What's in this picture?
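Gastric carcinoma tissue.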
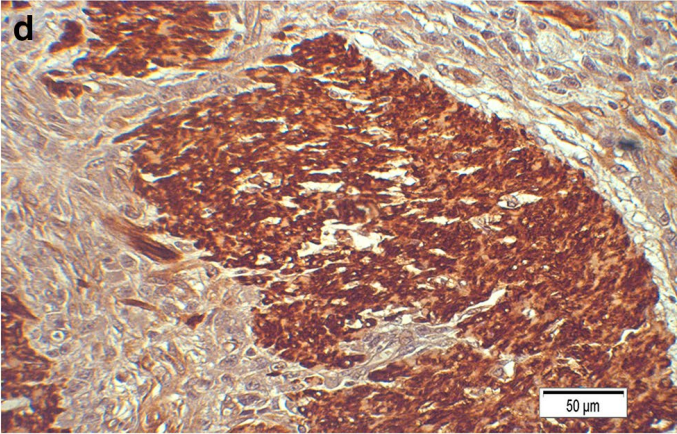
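A large, solid nest of crowded tumor cells fills most of the field and is stained an intense dark brown throughout, so that single nuclei are hard to separate from the cytoplasm. Small clefts and spaces break up the nest, and a few further dark brown cell clusters appear at its upper left. Around it lies paler fibrous stroma with elongated spindle-shaped cells and bluish nuclei, which stains only faintly. The sharp contrast between the heavily stained tumor nest and the pale stroma suggests the tumor cells take up the stain strongly.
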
